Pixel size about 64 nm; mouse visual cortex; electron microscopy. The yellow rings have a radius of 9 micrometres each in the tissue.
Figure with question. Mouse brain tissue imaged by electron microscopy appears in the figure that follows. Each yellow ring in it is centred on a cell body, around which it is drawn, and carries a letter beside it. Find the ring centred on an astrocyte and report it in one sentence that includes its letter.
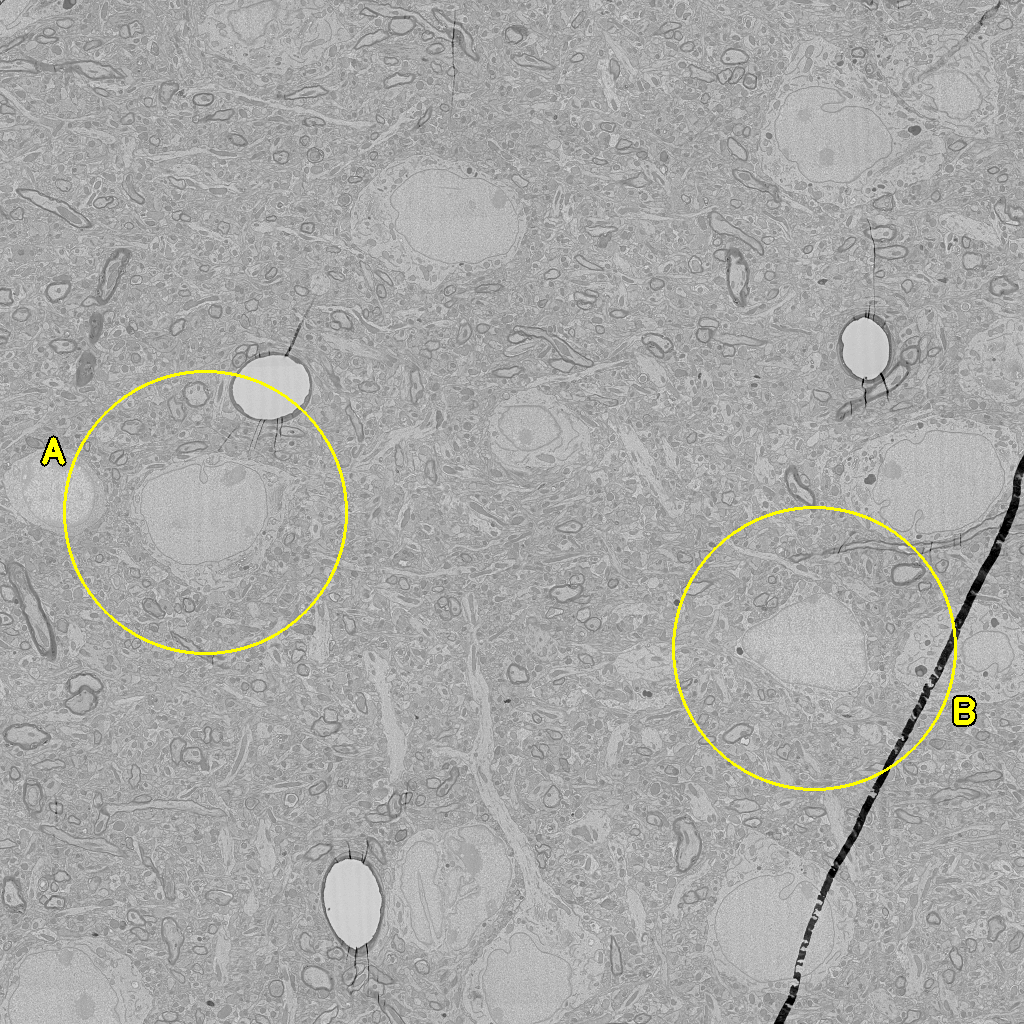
Ring B is the one centred on it.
